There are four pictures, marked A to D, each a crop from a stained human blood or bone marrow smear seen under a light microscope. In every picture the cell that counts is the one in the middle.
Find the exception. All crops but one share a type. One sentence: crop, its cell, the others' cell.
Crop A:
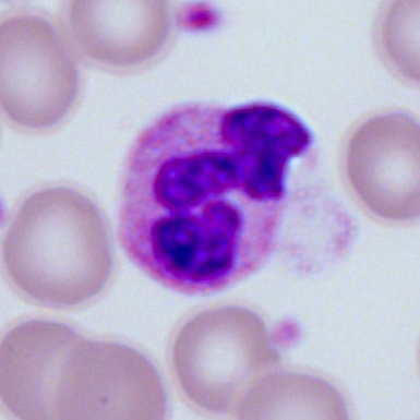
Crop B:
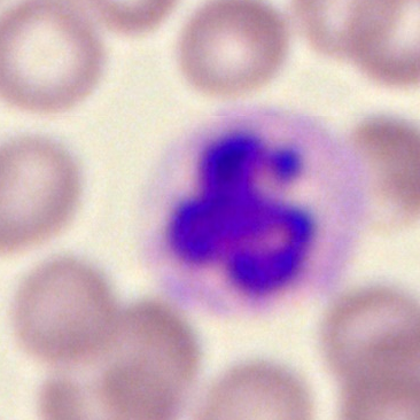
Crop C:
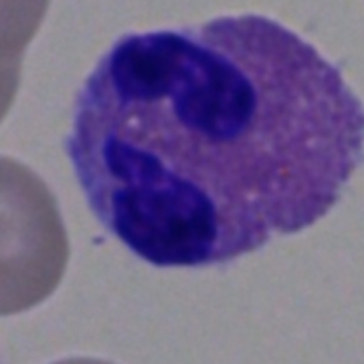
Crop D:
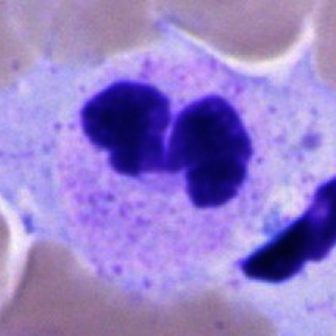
Crop C does not match the others; it shows an eosinophil, and they show neutrophils.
